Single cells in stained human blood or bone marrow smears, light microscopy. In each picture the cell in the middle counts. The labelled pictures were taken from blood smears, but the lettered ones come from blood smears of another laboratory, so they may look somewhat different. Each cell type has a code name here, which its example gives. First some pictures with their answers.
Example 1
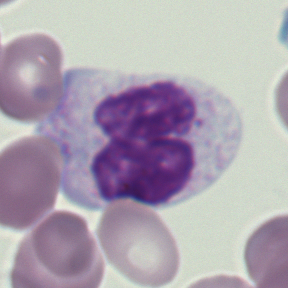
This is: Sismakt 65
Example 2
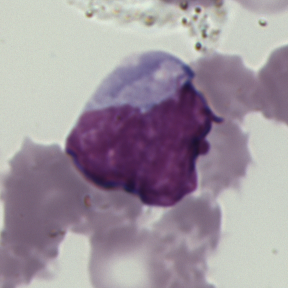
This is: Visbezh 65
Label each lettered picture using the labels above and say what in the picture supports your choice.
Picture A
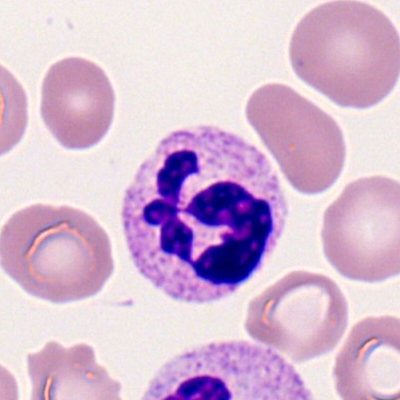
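Sismakt 65. Evidence: The cytoplasm is plentiful and pale pinkish-lilac.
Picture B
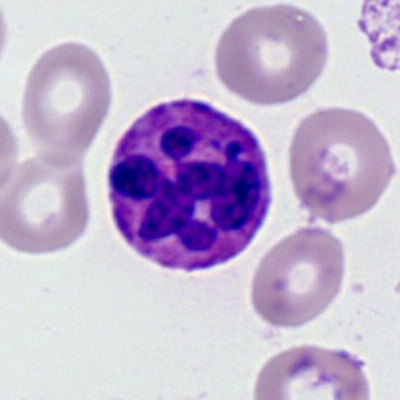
Sismakt 65. Evidence: The nucleus is split into more than four separate lobes.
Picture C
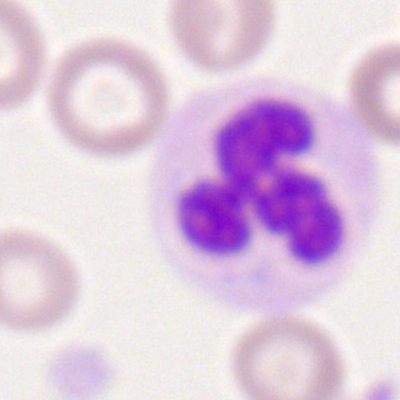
Sismakt 65. Evidence: A wide rim of pale pinkish-lilac cytoplasm surrounds the nucleus.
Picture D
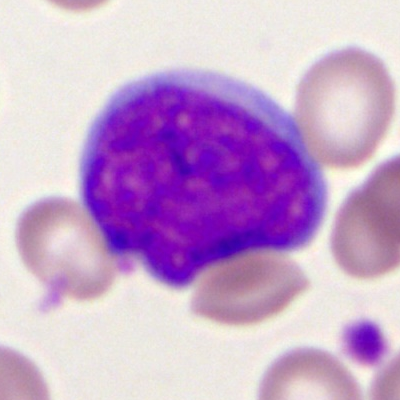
Visbezh 65. Evidence: The cytoplasm is only a thin rim around the nucleus.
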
